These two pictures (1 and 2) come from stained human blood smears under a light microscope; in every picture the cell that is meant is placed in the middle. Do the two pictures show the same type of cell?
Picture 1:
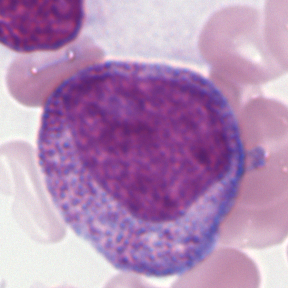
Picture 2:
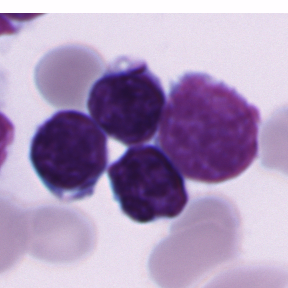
no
